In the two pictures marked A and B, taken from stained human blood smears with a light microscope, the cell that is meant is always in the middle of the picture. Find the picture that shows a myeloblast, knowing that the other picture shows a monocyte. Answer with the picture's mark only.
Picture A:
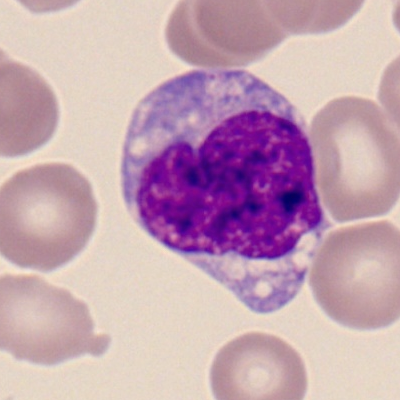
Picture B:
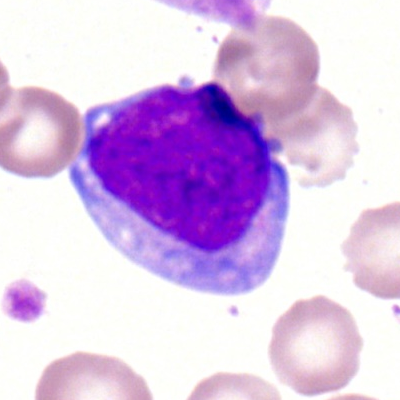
B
